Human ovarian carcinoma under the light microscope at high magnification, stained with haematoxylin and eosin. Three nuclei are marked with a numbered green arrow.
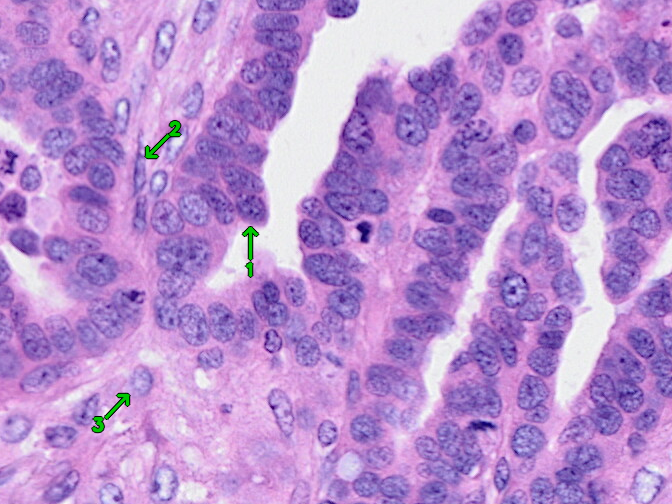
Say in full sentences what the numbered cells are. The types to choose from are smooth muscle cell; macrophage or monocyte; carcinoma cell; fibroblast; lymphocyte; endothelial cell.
Cell 1 is a carcinoma cell. Cells 2 and 3 are fibroblasts.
